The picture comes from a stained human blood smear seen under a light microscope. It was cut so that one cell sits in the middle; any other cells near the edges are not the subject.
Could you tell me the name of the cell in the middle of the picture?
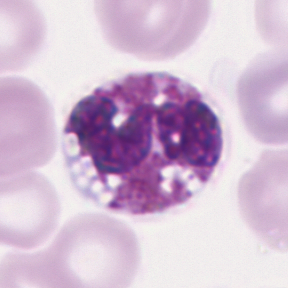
eosinophil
